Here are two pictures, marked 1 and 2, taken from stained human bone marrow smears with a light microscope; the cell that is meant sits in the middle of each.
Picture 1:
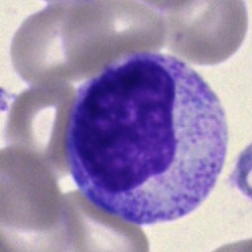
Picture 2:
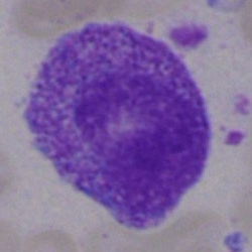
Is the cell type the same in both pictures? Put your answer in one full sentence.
Yes, both cells are myelocytes.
